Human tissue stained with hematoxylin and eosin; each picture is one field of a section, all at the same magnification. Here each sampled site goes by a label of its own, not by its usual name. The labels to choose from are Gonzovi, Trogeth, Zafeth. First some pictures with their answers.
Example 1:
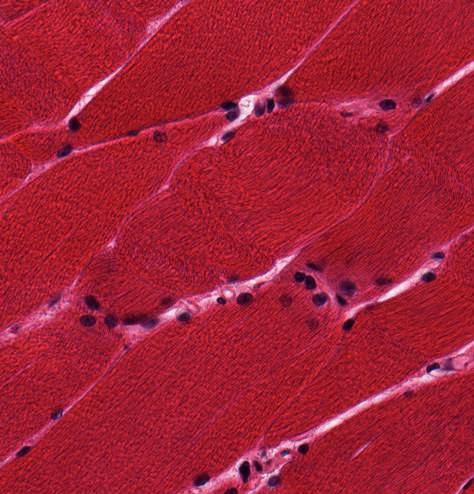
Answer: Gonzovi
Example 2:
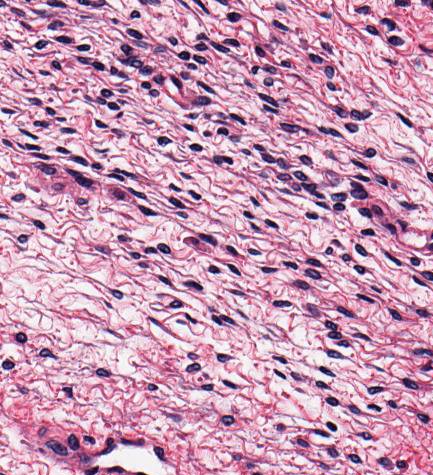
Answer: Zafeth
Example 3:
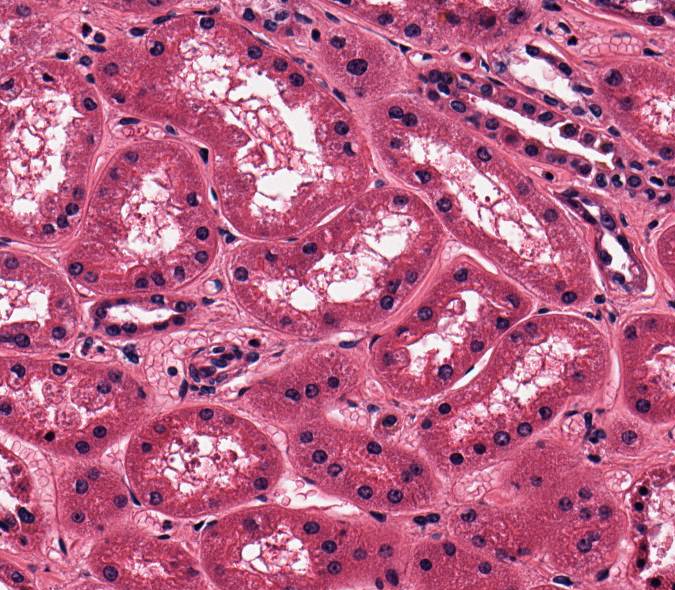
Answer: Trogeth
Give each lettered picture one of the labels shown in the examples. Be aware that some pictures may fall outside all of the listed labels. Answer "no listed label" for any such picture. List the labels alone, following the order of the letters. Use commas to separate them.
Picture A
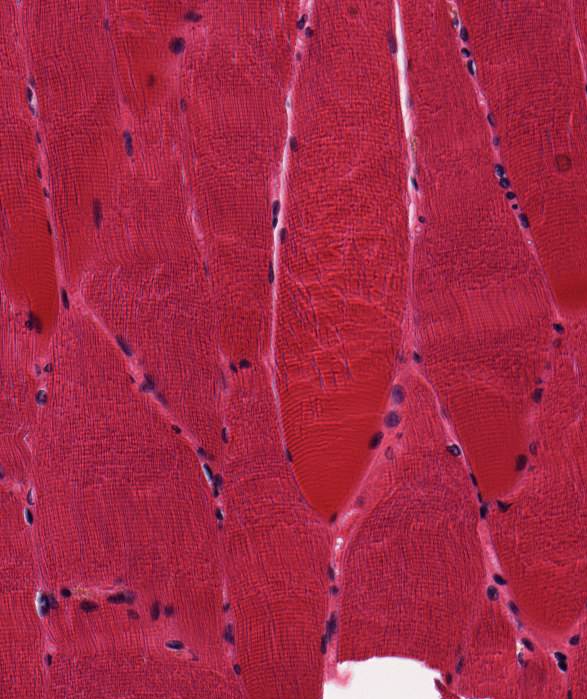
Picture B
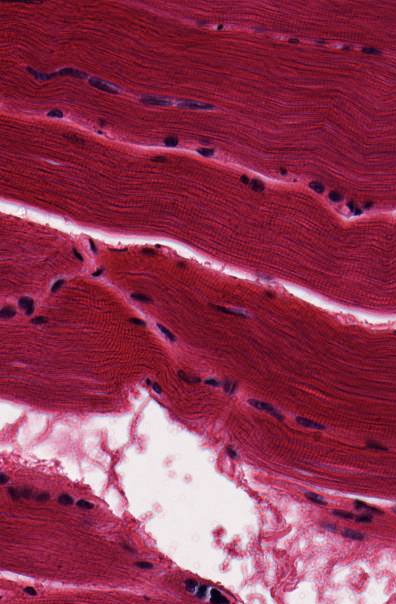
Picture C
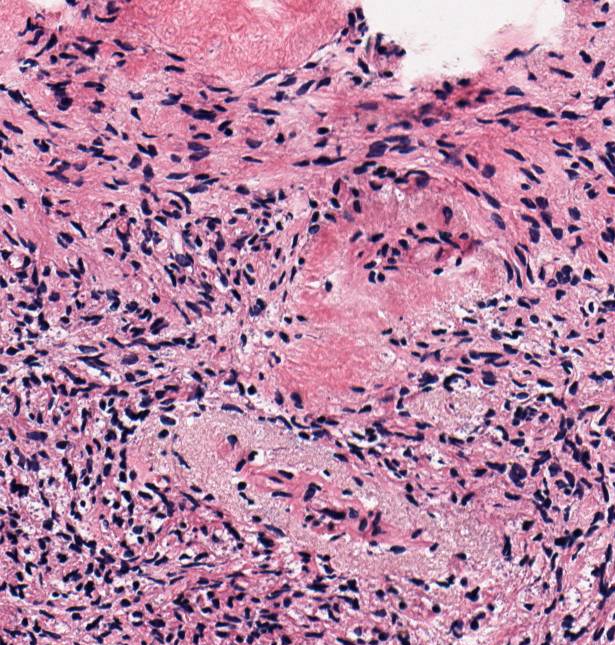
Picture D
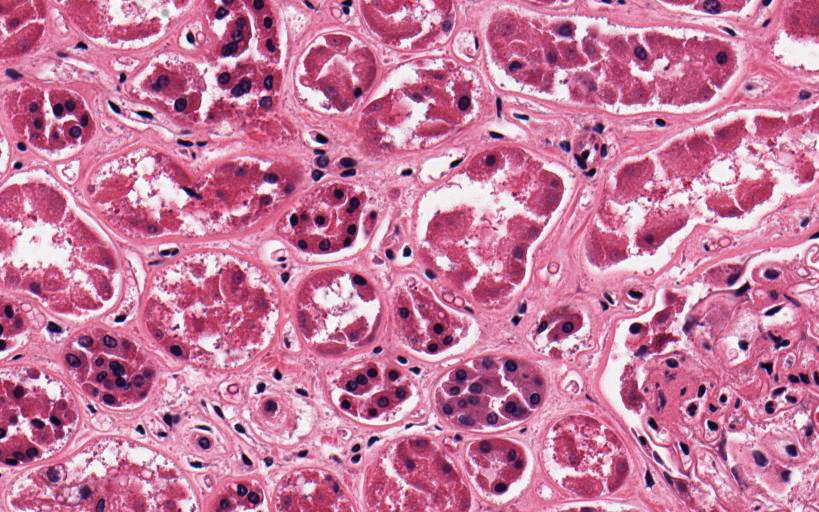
Gonzovi, Gonzovi, Zafeth, Trogeth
